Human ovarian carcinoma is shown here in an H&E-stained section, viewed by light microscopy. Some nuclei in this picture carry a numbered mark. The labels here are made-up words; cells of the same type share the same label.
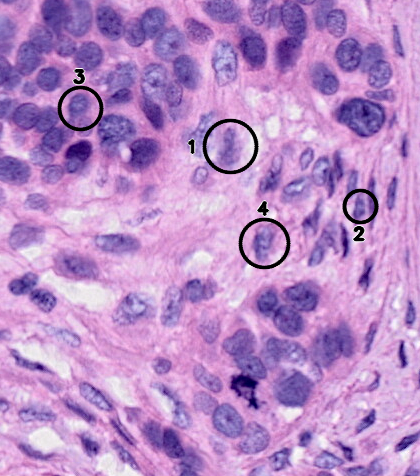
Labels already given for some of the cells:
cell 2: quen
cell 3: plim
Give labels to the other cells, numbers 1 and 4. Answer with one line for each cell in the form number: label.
1: quen
4: quen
